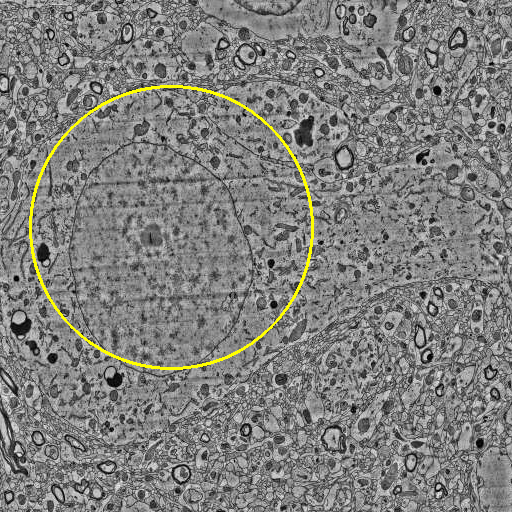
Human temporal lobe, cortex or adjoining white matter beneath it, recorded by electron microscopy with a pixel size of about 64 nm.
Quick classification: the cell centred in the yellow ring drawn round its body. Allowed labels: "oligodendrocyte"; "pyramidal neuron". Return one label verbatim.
pyramidal neuron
